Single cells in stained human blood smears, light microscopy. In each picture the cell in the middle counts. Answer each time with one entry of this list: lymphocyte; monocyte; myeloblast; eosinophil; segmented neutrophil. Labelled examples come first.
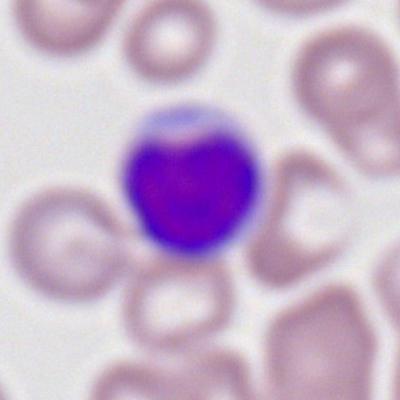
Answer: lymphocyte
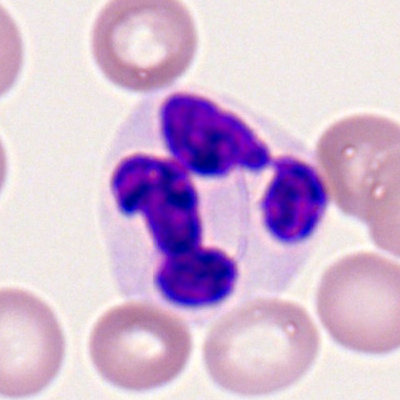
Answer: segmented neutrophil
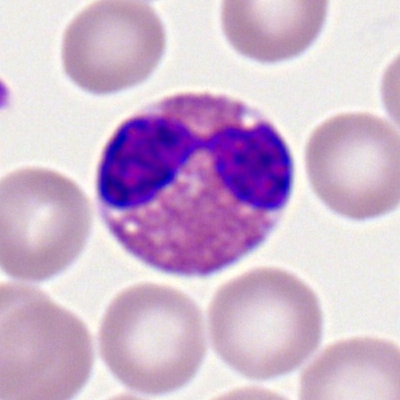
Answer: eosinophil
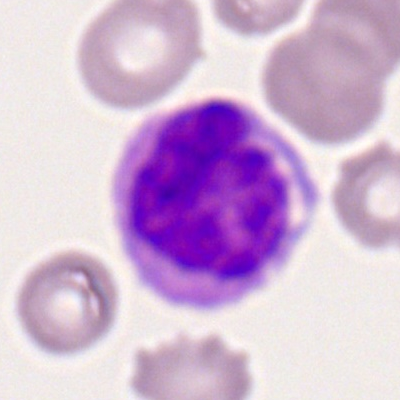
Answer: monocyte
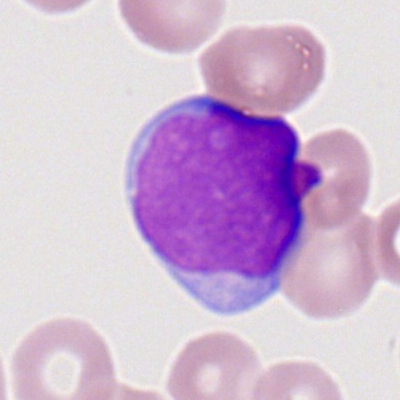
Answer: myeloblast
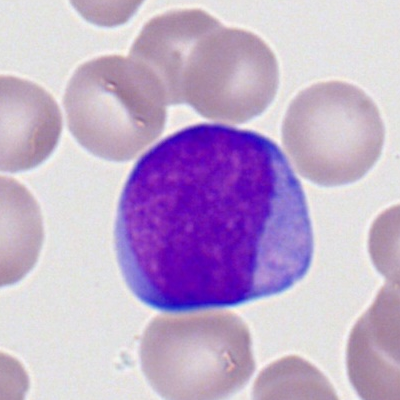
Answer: myeloblast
